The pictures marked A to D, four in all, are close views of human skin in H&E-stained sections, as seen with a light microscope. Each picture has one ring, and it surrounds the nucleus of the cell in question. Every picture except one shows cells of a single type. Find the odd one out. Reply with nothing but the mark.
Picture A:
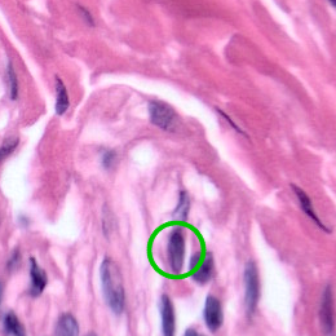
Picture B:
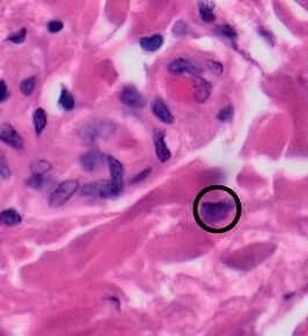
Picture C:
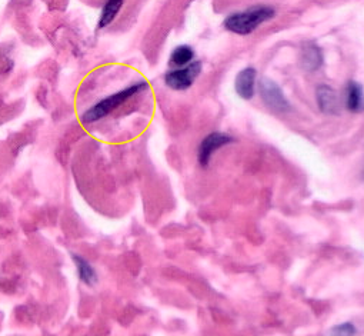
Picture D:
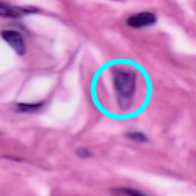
A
